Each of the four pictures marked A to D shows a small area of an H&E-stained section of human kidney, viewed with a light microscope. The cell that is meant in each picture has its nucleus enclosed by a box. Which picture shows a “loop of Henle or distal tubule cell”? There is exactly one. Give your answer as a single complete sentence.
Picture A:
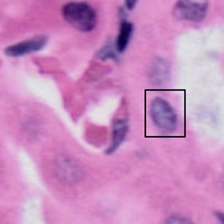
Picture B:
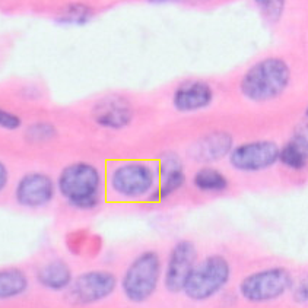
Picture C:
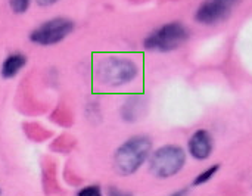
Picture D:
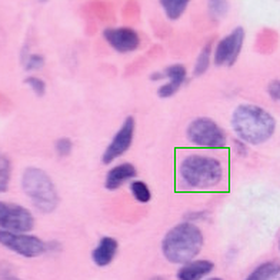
The “loop of Henle or distal tubule cell” is the one in picture A.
